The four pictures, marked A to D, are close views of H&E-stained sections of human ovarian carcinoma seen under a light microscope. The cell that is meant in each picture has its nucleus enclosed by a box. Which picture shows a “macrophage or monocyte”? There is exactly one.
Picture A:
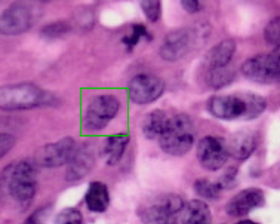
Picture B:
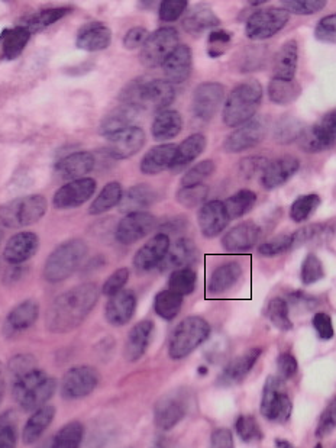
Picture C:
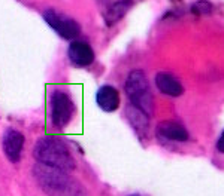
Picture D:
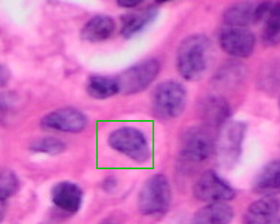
D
